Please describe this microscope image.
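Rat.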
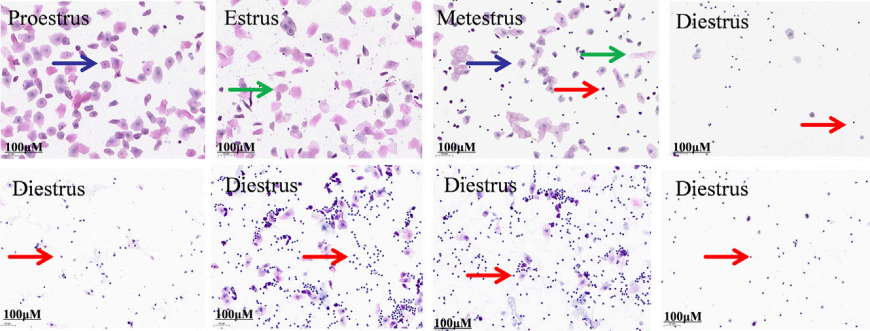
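These are vaginal smears with three kinds of cells: nucleated epithelial cells, cornified squamous epithelial cells and leucocytes. The nucleated epithelial cells are round to oval, have pink-lilac cytoplasm and a distinct dark nucleus, and they dominate some fields. Cornified squamous cells are larger, flat and angular, with pink cytoplasm and no visible nucleus. Leucocytes appear as numerous tiny dark purple dots, sparse in some fields and crowded in others, often lying among a few scattered epithelial cells.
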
